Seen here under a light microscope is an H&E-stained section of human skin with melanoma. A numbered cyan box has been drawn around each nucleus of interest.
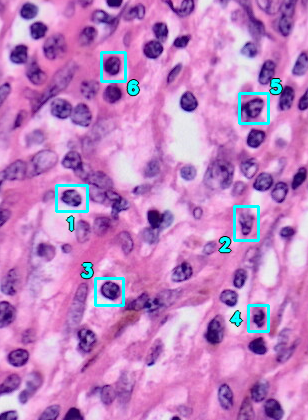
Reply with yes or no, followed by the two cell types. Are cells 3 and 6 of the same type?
Yes, both are lymphocytes.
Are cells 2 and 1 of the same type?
Yes, both are lymphocytes.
